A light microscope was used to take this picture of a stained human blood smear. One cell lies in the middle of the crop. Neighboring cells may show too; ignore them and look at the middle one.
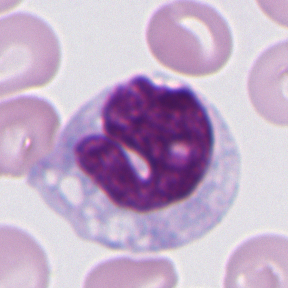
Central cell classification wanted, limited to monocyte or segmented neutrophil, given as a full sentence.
Framed in the middle of the crop is a monocyte.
